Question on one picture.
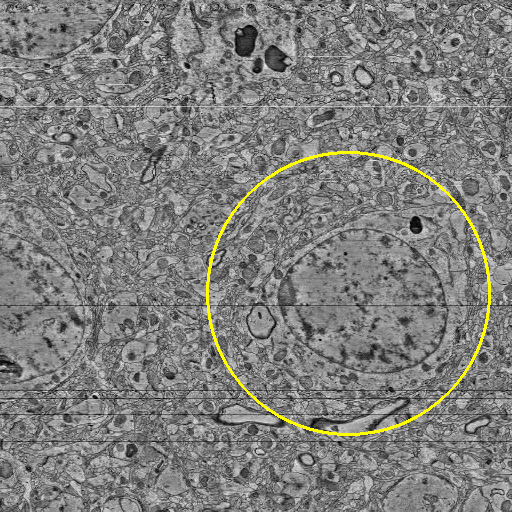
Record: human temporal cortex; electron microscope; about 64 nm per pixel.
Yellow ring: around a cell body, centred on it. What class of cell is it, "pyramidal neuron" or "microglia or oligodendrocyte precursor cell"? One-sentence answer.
This is a pyramidal neuron, the cell the ring is centred on.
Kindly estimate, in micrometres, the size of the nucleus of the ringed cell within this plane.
In this plane the nucleus spans approximately 11 by 9 micrometers.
